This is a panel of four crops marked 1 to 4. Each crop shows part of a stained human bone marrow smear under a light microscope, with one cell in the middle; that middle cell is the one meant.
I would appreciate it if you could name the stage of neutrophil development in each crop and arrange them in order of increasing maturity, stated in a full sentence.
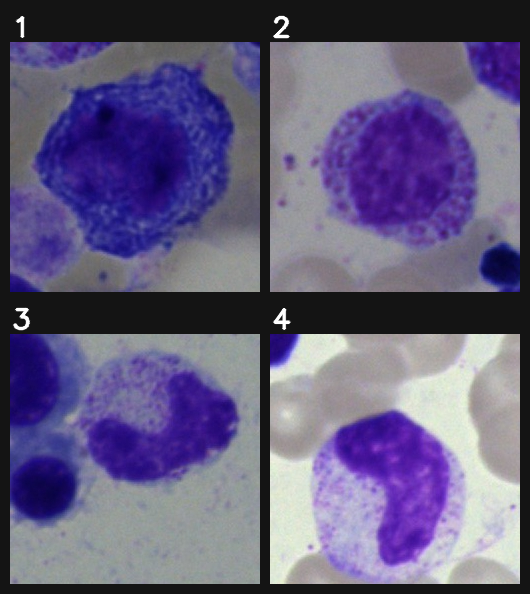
Sorted by stage of maturation, earliest first, the sequence is crop 1 (a promyelocyte), crop 2 (a myelocyte), crop 4 (a metamyelocyte) and crop 3 (a band neutrophil).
